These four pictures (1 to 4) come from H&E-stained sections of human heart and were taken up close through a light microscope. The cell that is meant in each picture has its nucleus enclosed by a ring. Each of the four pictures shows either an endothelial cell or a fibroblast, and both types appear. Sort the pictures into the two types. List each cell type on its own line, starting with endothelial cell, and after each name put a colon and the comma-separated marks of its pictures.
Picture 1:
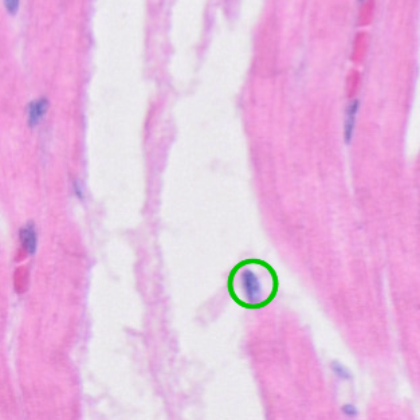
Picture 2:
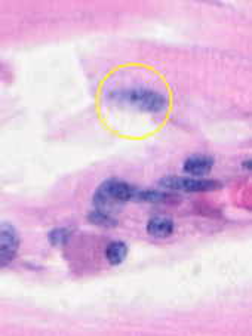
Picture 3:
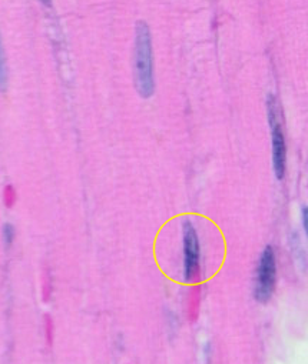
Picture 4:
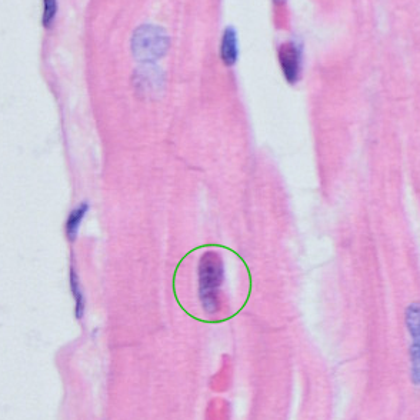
endothelial cell: 3, 4
fibroblast: 1, 2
